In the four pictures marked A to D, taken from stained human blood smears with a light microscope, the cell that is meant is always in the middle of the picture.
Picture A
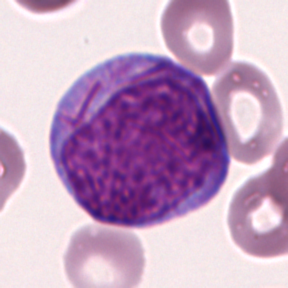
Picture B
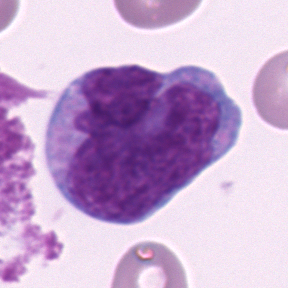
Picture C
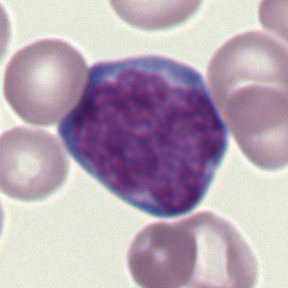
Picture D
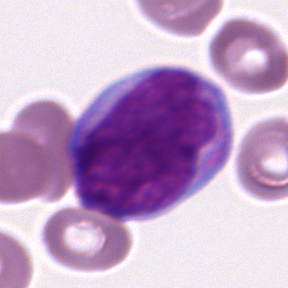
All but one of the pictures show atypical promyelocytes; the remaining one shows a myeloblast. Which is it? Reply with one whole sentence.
The picture with the myeloblast is C.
